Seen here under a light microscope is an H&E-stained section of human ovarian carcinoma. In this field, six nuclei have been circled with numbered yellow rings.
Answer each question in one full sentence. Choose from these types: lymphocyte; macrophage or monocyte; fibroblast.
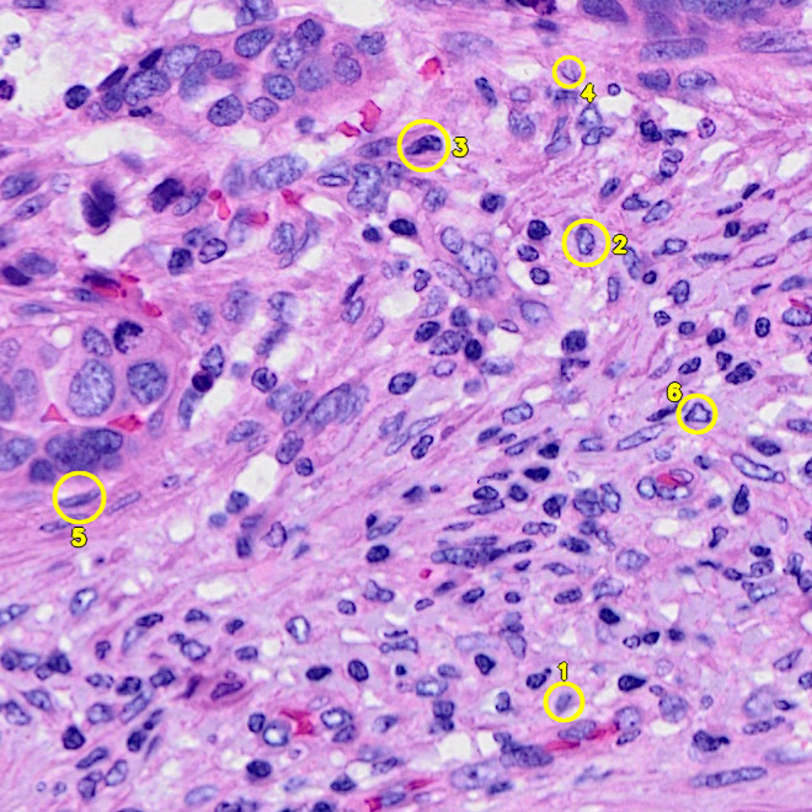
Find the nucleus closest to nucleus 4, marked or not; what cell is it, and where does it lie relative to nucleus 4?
The closest nucleus belongs to a macrophage or monocyte and sits below nucleus 4.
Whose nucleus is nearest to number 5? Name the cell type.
It is a fibroblast whose nucleus is nearest to number 5.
